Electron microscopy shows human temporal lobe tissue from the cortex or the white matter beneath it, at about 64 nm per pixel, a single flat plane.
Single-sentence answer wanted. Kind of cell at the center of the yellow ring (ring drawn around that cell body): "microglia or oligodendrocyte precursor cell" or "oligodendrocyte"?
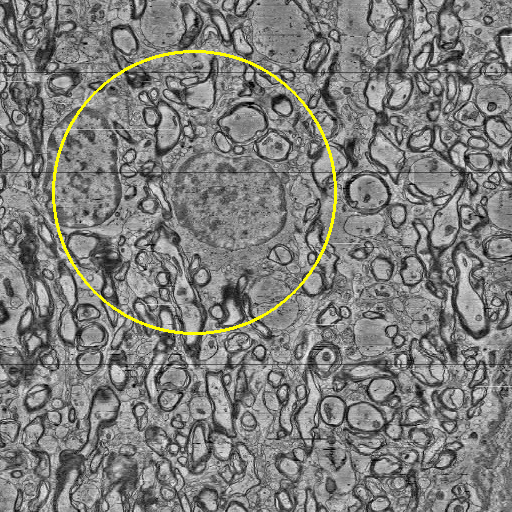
The cell centered in the ring is an oligodendrocyte.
